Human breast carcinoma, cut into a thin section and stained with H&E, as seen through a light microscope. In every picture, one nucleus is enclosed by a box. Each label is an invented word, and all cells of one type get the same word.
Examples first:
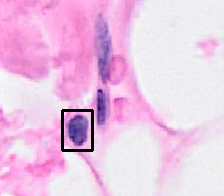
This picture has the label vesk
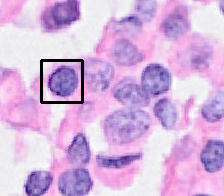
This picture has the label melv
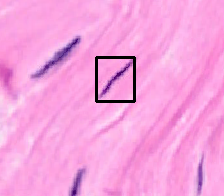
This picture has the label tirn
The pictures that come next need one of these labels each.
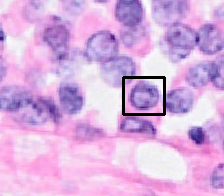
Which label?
melv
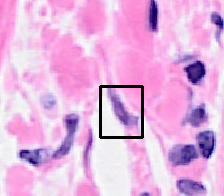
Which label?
tirn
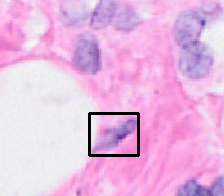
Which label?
tirn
